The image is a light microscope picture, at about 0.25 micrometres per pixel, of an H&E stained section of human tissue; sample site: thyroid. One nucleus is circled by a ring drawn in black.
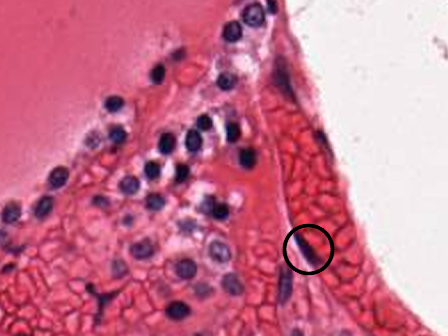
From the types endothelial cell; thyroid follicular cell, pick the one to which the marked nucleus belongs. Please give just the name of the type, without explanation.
endothelial cell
